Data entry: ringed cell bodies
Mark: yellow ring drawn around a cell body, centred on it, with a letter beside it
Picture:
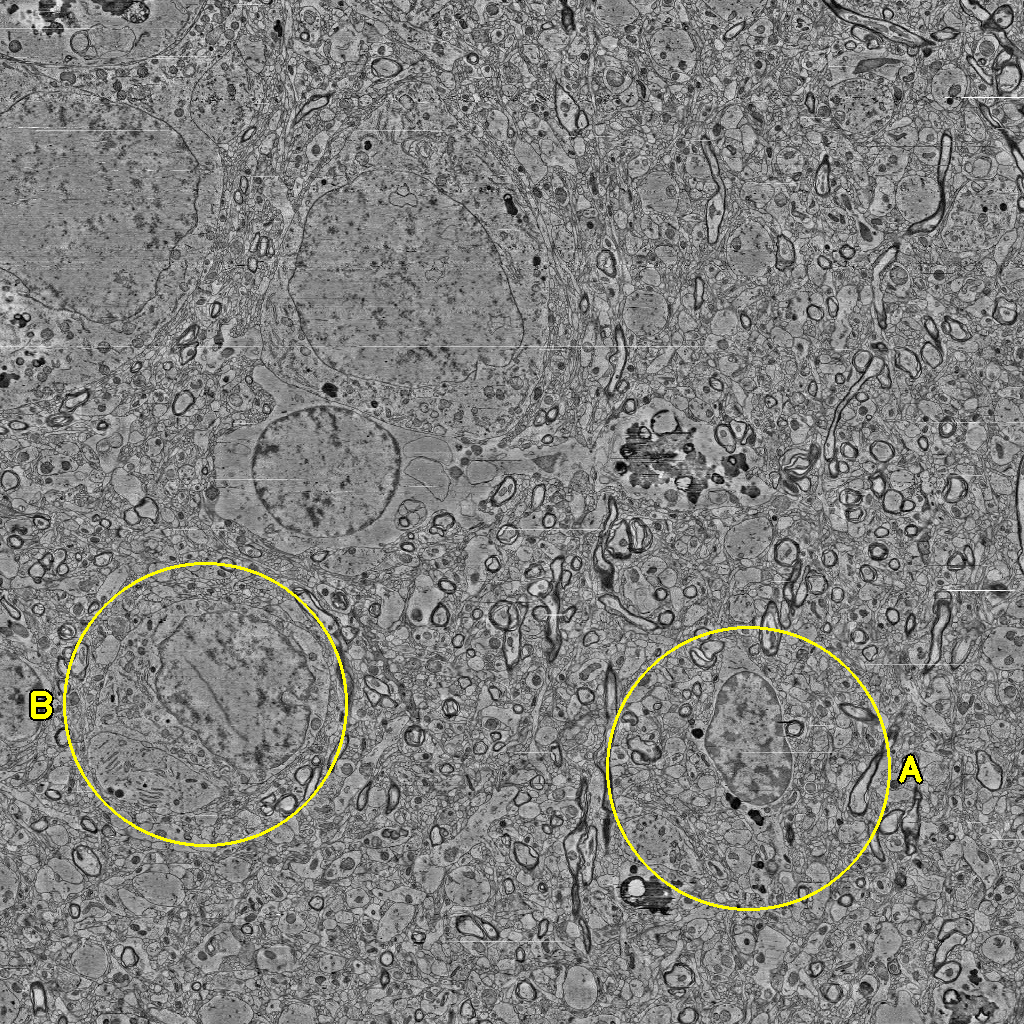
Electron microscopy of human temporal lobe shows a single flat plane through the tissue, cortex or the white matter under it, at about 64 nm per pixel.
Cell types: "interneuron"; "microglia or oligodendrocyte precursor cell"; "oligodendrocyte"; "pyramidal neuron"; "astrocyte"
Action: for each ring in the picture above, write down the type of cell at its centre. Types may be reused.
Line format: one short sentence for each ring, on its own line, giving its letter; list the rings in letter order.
For ring A, the cell at the centre is a microglial cell or oligodendrocyte precursor cell.
For ring B, the cell at the centre is an interneuron.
